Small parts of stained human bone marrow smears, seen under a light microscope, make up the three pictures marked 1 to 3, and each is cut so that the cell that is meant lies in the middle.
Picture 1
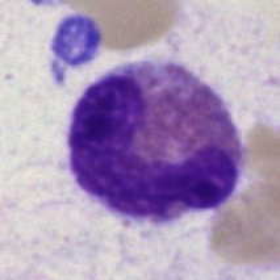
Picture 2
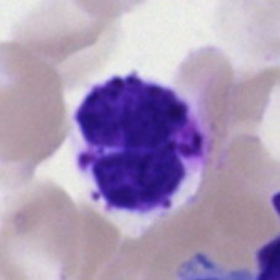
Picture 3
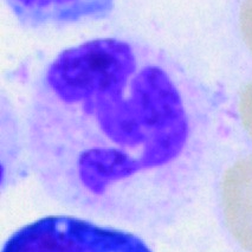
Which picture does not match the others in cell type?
3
